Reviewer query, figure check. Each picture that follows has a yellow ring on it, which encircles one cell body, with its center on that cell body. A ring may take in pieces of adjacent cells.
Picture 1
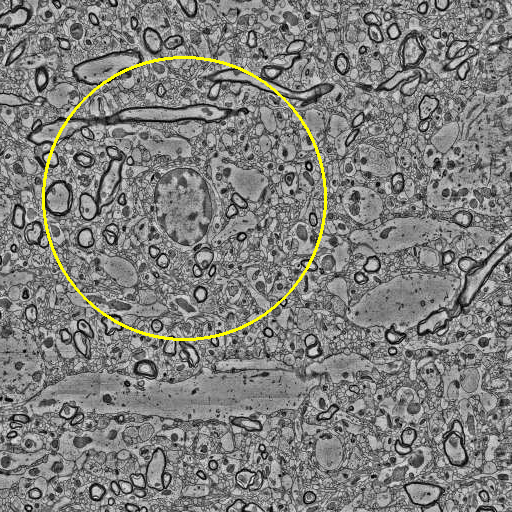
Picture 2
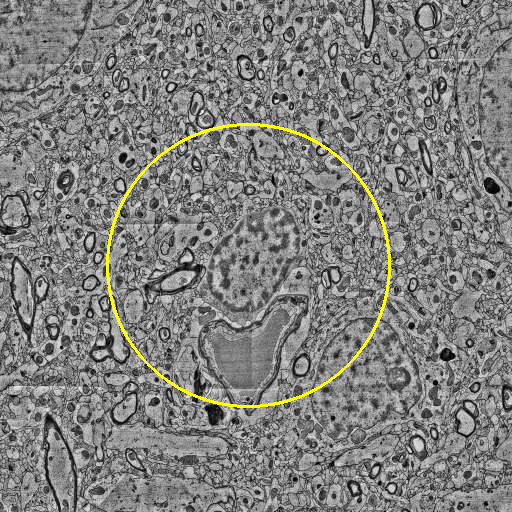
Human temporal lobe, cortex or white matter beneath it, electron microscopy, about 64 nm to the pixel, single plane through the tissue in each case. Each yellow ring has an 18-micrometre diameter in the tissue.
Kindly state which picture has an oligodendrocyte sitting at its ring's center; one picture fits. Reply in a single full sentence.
In picture 2, the cell at the center of the ring is the requested one.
